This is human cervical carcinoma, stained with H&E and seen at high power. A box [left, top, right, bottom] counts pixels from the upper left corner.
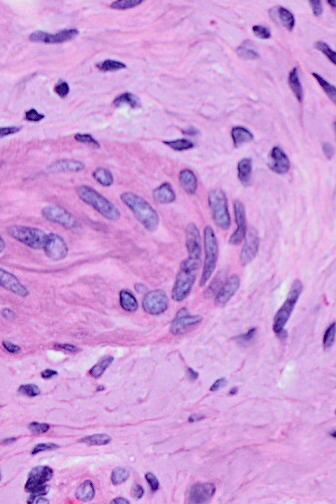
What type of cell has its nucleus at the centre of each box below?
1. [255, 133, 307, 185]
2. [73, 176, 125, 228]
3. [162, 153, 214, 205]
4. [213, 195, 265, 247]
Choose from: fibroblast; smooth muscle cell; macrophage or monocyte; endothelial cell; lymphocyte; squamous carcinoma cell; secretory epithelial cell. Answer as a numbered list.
1. fibroblast
2. smooth muscle cell
3. smooth muscle cell
4. smooth muscle cell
